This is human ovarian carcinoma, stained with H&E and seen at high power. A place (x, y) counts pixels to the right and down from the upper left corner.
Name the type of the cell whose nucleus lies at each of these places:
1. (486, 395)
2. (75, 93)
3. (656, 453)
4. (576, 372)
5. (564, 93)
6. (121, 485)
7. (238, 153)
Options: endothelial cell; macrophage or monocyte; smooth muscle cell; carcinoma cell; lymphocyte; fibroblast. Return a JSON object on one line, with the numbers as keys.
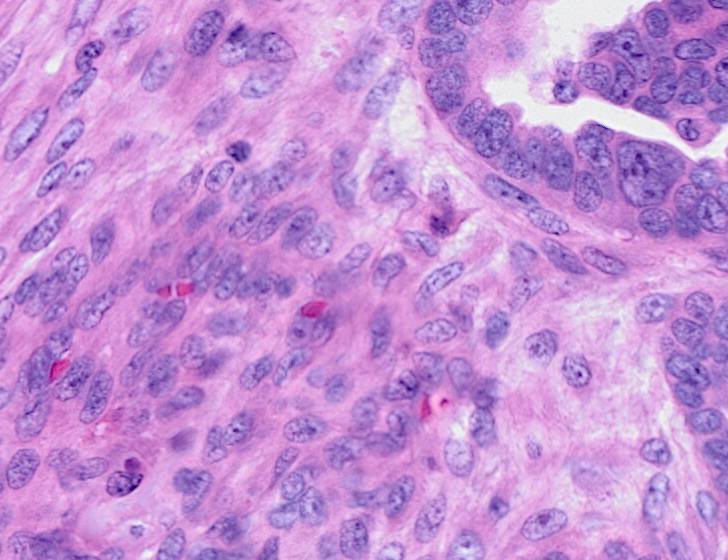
{"1": "fibroblast", "2": "fibroblast", "3": "fibroblast", "4": "fibroblast", "5": "macrophage or monocyte", "6": "macrophage or monocyte", "7": "lymphocyte"}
